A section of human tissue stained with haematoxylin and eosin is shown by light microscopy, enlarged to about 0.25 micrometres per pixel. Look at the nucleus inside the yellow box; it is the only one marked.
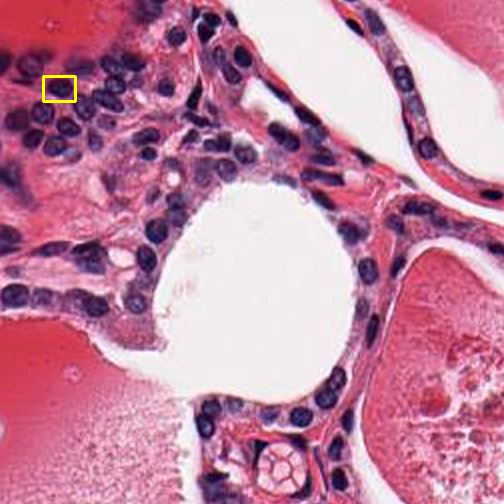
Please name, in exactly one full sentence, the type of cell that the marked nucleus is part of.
The marked nucleus is that of a thyroid follicular cell in this section.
